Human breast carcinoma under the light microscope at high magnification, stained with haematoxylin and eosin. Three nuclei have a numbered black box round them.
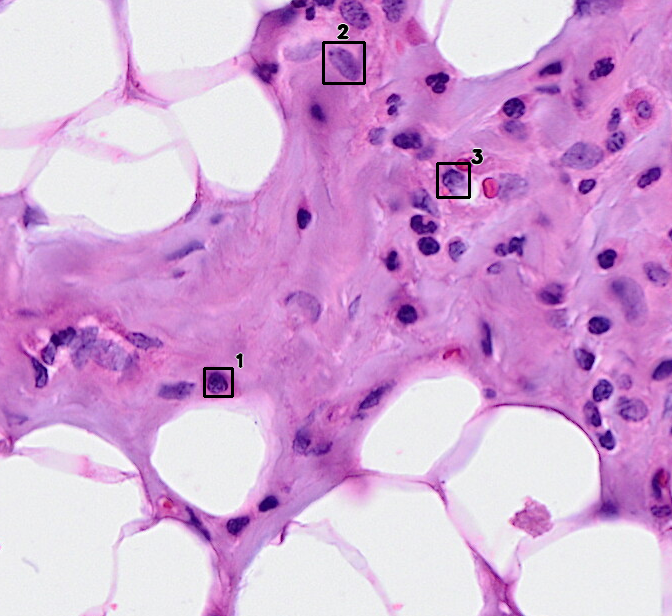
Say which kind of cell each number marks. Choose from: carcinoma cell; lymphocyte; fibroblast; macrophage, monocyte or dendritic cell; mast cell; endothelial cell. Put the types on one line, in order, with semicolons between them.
mast cell; fibroblast; endothelial cell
